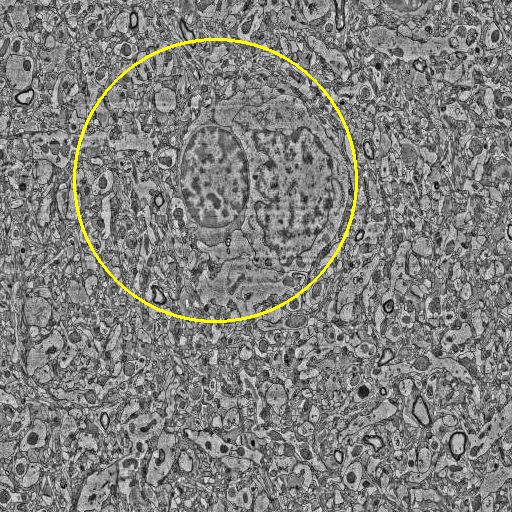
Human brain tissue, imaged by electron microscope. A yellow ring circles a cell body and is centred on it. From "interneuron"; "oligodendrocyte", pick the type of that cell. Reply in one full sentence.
The cell body at the centre of the yellow ring belongs to an oligodendrocyte.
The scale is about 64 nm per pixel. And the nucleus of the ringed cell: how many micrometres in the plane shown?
The nucleus of the ringed cell is approximately 6 by 5 micrometres in this plane.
